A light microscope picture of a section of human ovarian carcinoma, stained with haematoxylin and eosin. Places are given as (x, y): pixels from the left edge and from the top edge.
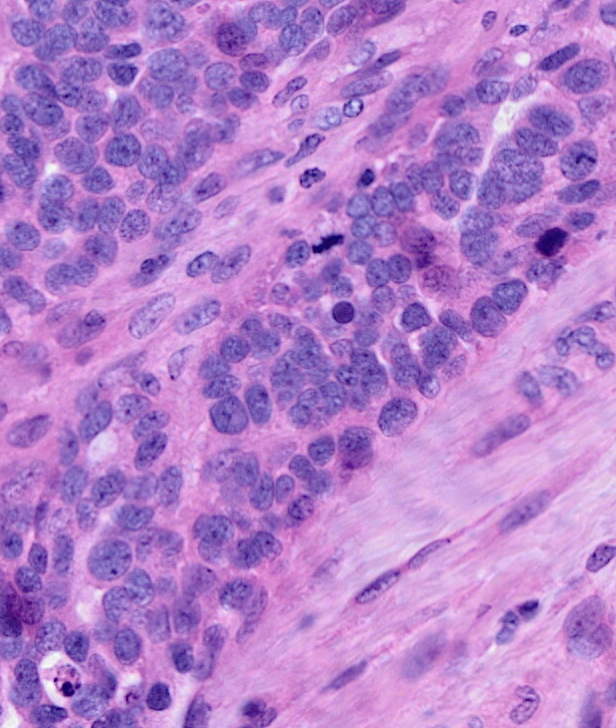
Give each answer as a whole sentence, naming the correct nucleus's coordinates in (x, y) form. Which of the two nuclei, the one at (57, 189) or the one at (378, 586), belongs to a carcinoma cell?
The nucleus lying at (57, 189) is the nucleus of a carcinoma cell.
